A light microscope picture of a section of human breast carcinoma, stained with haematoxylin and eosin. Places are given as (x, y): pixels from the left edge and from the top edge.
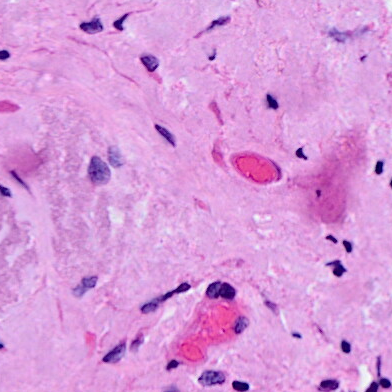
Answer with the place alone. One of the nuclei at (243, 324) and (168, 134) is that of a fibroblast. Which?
(168, 134)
